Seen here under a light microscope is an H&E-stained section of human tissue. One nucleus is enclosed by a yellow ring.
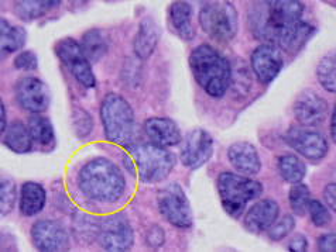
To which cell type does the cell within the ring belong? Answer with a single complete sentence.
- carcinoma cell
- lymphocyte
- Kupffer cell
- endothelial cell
The cell within the ring appears to be a carcinoma cell.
